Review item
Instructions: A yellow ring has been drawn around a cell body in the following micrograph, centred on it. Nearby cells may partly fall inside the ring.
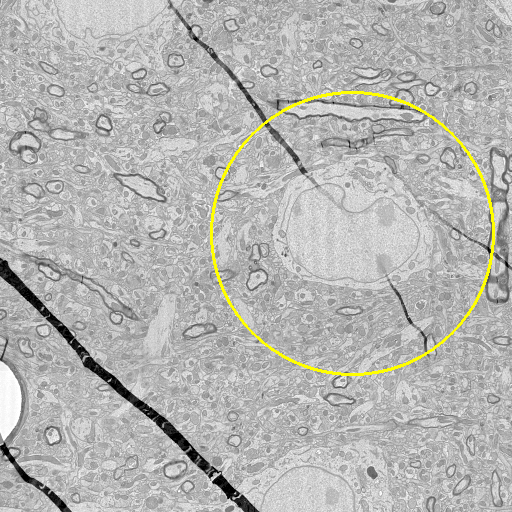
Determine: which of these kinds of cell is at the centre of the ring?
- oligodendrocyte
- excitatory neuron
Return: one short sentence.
The cell body in the middle of the ring is that of an excitatory neuron.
